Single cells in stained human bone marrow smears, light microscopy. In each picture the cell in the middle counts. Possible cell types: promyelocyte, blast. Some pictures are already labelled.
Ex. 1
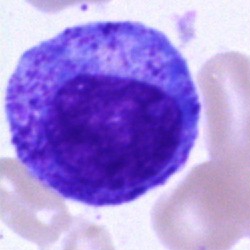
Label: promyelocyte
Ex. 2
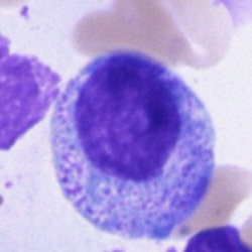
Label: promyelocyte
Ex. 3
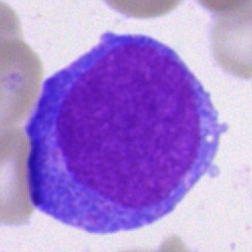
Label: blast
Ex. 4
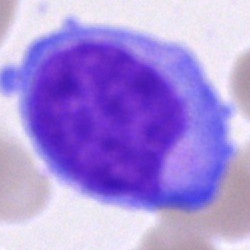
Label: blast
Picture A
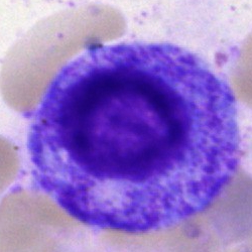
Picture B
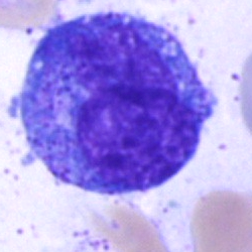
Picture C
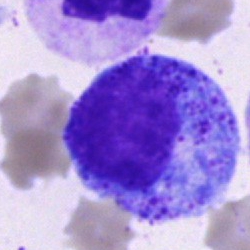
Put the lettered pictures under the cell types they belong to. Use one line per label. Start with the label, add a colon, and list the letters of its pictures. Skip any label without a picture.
promyelocyte: A, B, C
